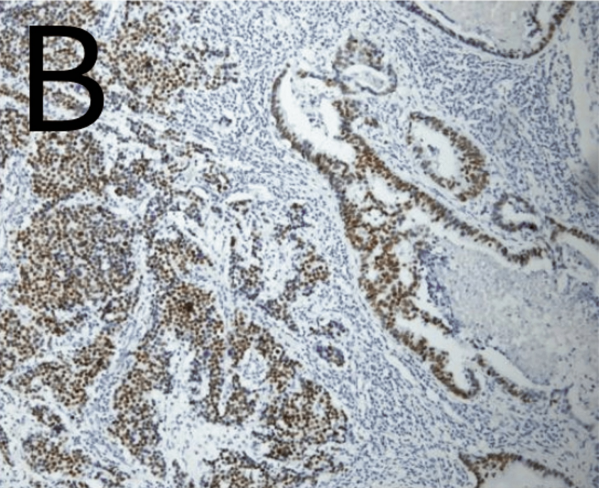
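This is tumor tissue in which brown staining sits in the nuclei of the tumor cells. On the left, solid nests and cords of small cells show dense brown nuclei throughout. On the right, the cells lining irregular glands also carry brown nuclei, forming brown rims around the gland lumens. The stroma between them stays pale blue and unstained. Both the solid nests and the glandular parts of the tumor are thus reactive.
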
